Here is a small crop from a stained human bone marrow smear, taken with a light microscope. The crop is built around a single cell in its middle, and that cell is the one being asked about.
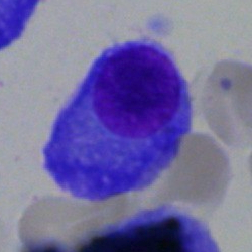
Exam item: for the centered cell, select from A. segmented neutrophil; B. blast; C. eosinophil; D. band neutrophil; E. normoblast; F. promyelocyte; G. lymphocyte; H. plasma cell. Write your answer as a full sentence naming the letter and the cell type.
Option H is correct, and the cell in the centre is a plasma cell.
